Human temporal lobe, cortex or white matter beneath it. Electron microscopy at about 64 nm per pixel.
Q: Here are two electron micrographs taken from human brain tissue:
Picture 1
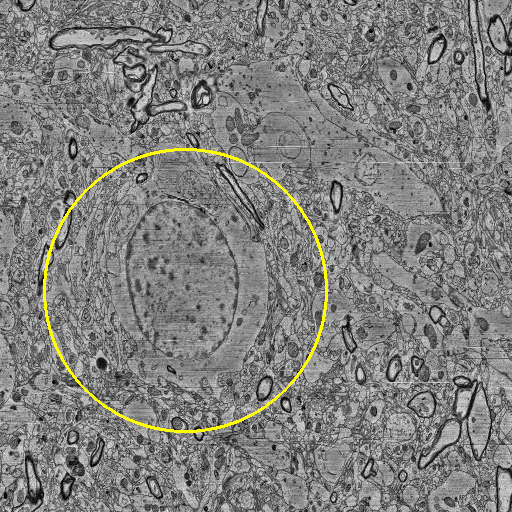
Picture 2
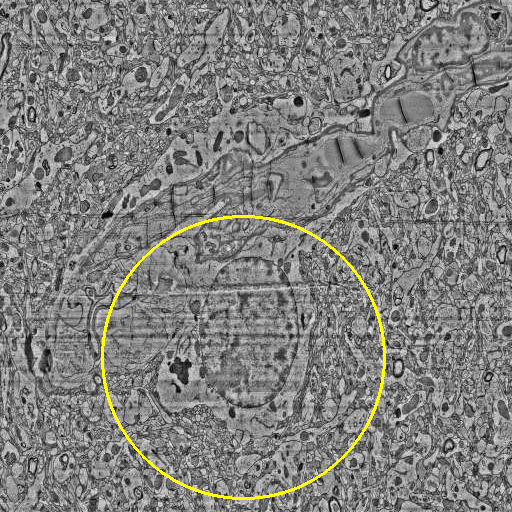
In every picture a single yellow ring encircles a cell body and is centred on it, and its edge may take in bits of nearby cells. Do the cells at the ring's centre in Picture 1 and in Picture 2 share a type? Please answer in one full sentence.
Yes, the cells at the ring's centre in Picture 1 and Picture 2 share a type.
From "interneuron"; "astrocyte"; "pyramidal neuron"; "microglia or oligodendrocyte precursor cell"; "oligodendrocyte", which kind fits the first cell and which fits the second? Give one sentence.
The second cell is an astrocyte, just as the first is.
